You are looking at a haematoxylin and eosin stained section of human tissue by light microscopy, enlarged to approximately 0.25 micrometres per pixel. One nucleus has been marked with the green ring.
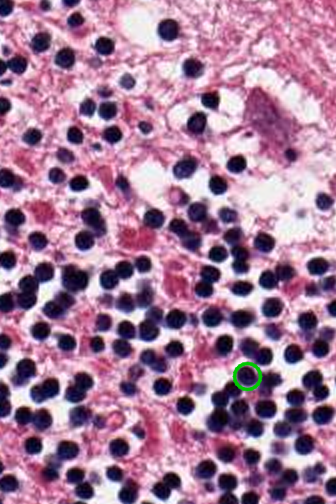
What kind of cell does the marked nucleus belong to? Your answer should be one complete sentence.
The marked nucleus is that of a cerebellar granule cell.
